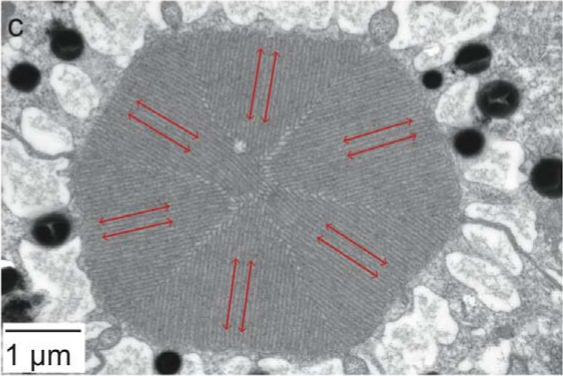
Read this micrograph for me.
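This electron micrograph shows a rhabdom of the eye in cross-section, a rounded, many-sided grey body made of tightly packed microvilli. The rhabdom is divided into several wedge-shaped sectors that meet at a central point. Within each sector the microvilli run parallel to one another, and the direction changes from sector to sector, giving a radiating pattern. Dark, round pigment granules and pale membranous profiles of neighbouring cells lie around its edge.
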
